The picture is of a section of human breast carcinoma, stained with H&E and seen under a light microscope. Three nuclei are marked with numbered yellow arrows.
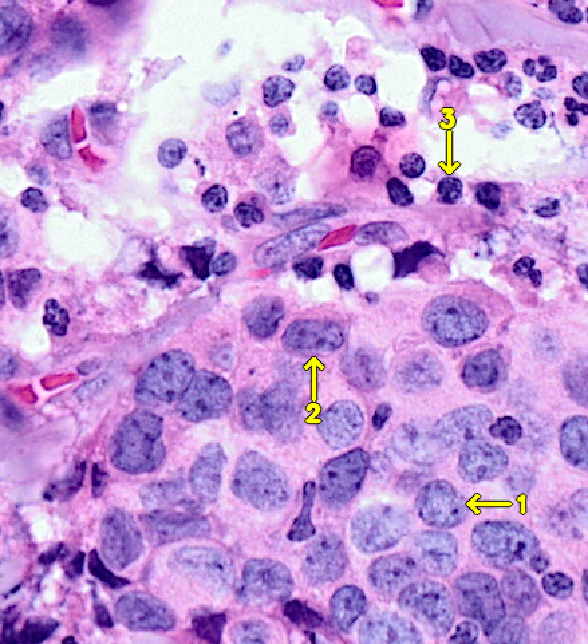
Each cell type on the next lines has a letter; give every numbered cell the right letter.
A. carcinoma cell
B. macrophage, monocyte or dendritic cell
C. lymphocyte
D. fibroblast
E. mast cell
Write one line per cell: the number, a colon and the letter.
1: A
2: A
3: C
